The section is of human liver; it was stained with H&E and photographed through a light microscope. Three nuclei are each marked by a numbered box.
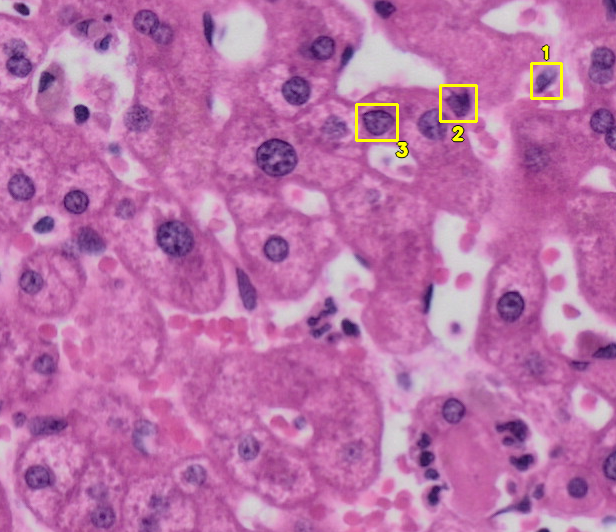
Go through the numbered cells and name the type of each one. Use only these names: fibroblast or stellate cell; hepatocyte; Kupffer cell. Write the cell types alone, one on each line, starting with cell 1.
Kupffer cell
fibroblast or stellate cell
hepatocyte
